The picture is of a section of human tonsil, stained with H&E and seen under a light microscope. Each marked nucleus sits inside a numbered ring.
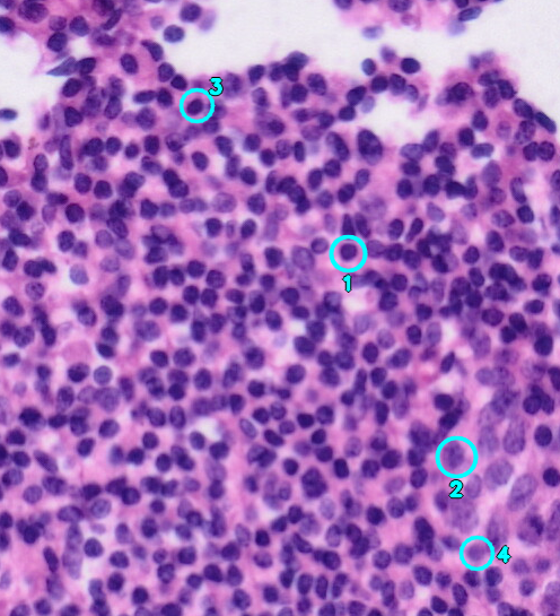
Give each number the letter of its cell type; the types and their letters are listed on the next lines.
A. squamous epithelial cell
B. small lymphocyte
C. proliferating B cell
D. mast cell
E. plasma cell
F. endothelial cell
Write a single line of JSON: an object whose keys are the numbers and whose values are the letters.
{"1": "B", "2": "C", "3": "B", "4": "C"}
